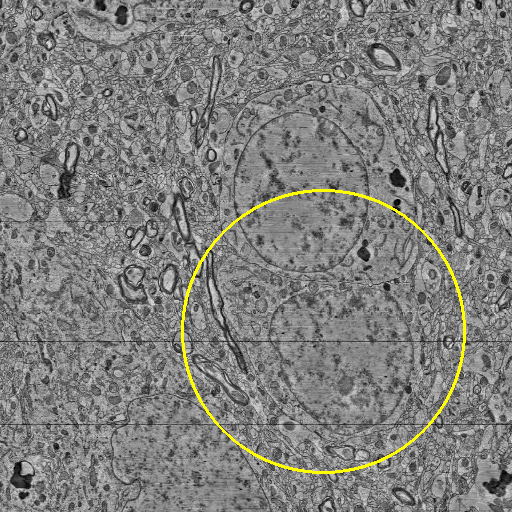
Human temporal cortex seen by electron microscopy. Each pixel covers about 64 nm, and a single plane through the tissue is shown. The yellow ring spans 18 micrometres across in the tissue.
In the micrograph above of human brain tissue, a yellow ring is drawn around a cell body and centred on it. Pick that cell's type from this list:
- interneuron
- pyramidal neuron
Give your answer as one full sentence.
Going by the list, an interneuron is the cell on which the yellow ring is centred.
